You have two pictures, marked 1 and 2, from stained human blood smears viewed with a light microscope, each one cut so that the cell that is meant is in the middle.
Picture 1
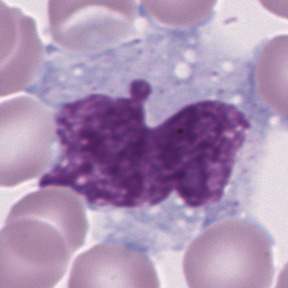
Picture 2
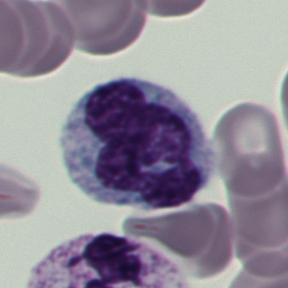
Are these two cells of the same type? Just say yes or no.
yes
